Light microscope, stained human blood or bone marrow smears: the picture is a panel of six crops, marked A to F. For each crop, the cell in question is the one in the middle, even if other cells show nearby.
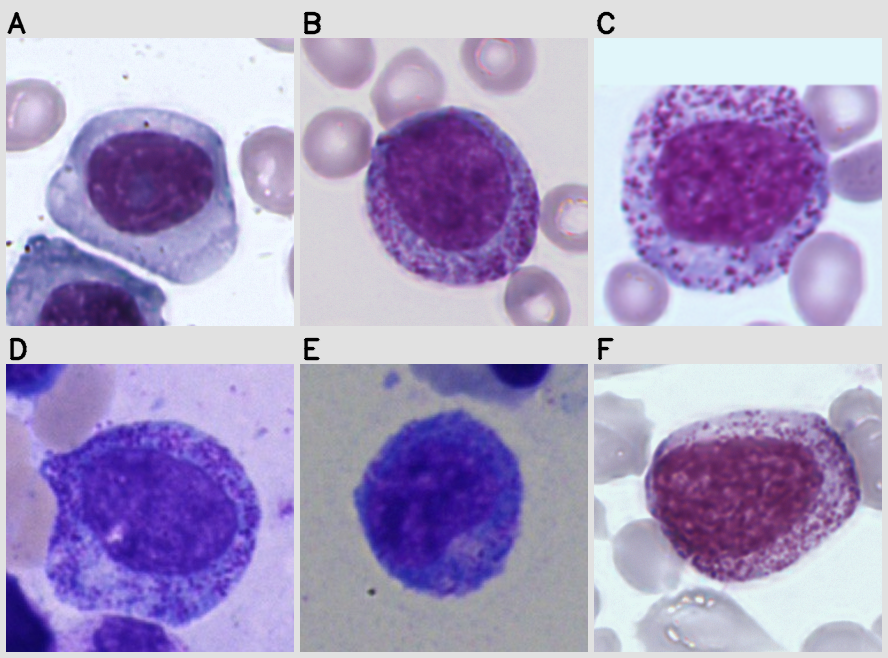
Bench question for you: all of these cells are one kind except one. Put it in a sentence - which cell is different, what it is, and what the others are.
Crop A is the one that is a plasma cell, and the other crops all show promyelocytes.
